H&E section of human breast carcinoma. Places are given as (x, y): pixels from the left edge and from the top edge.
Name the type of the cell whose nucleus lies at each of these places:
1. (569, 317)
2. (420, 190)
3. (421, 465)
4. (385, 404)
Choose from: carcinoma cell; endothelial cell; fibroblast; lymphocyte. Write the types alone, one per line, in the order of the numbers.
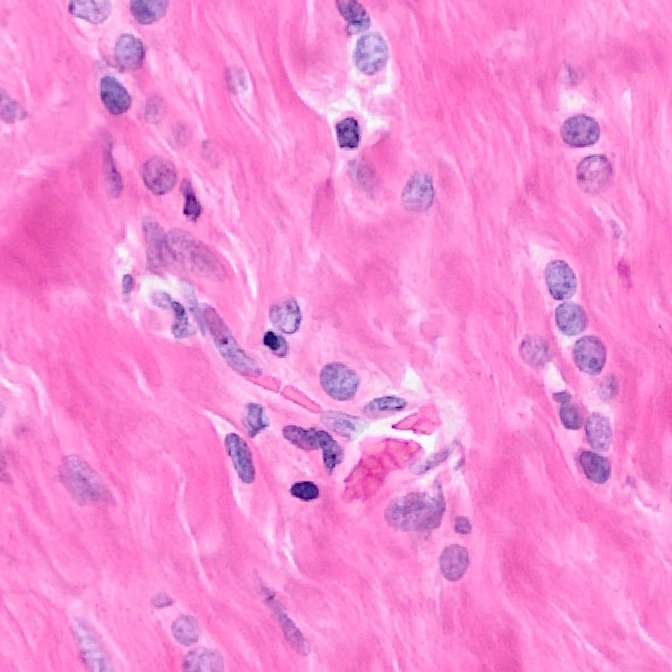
carcinoma cell
fibroblast
endothelial cell
endothelial cell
